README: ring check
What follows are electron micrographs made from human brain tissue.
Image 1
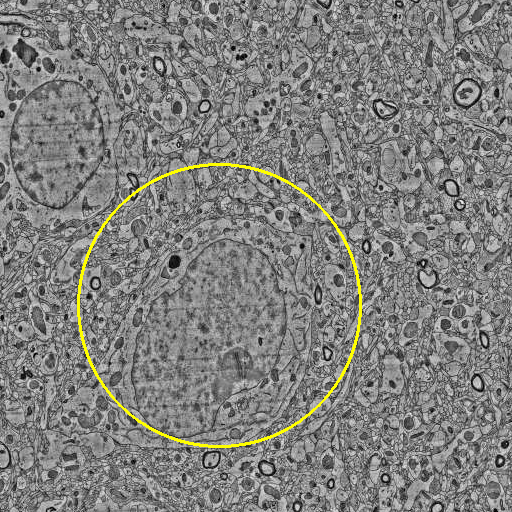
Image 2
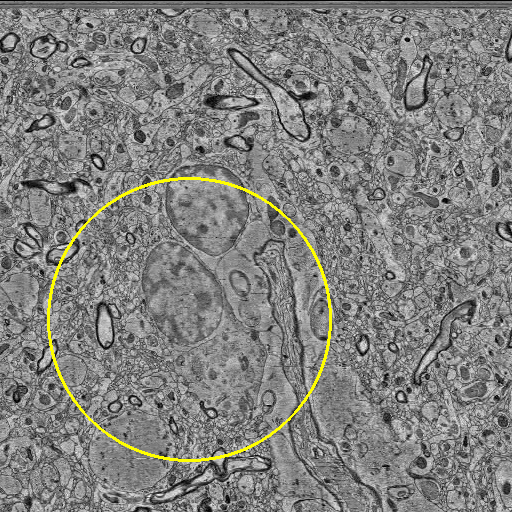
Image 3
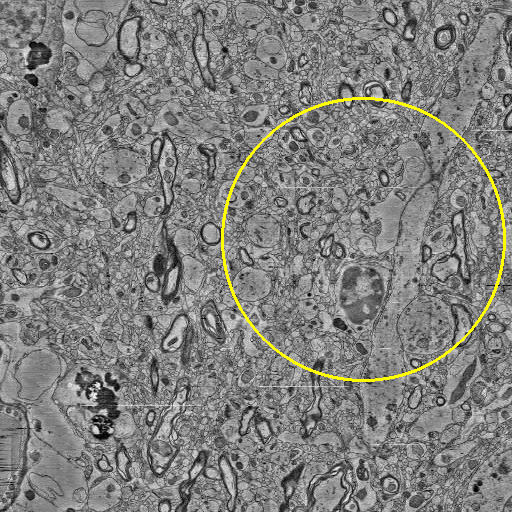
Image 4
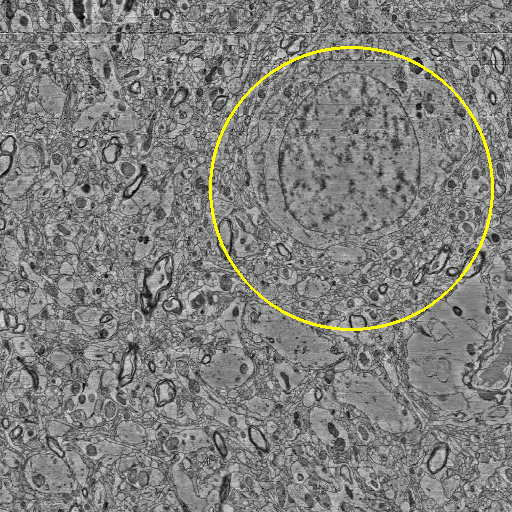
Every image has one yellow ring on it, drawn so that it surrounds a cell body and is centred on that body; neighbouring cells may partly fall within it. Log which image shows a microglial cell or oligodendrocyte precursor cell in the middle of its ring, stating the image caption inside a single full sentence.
Image 3 is where the cell at the ring's centre matches the one asked for.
